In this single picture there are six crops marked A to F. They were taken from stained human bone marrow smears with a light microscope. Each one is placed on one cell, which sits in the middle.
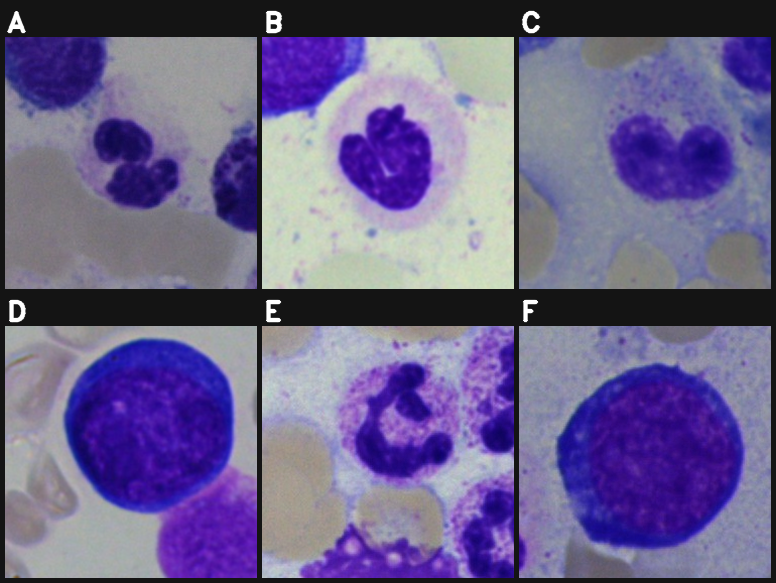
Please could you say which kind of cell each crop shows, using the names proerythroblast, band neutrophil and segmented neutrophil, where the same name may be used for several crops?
A: segmented neutrophil
B: segmented neutrophil
C: band neutrophil
D: proerythroblast
E: segmented neutrophil
F: proerythroblast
